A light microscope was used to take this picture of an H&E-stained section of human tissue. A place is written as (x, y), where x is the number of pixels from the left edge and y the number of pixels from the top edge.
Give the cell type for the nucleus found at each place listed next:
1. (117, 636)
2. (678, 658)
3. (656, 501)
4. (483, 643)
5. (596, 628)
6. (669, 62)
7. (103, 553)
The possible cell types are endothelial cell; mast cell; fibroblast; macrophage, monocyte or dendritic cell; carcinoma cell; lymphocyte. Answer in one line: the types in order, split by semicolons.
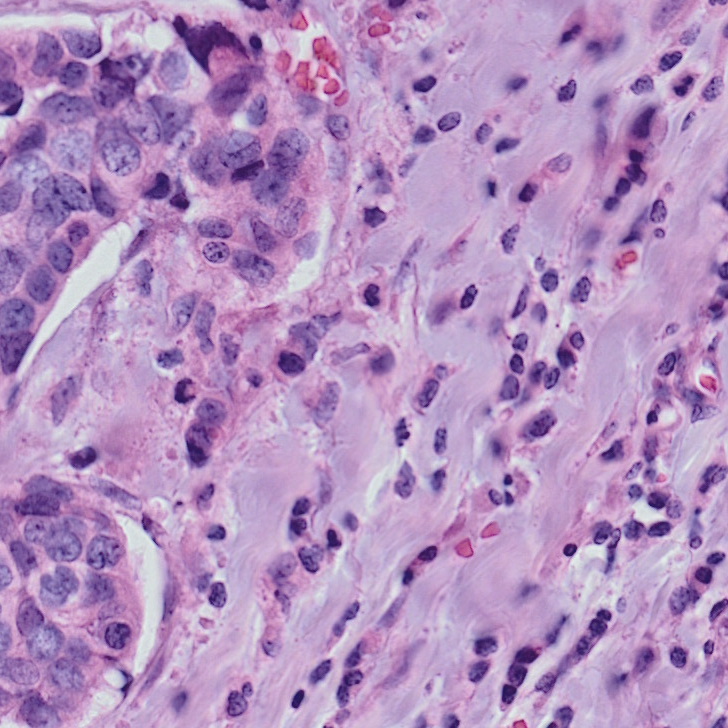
carcinoma cell; mast cell; lymphocyte; lymphocyte; lymphocyte; lymphocyte; carcinoma cell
